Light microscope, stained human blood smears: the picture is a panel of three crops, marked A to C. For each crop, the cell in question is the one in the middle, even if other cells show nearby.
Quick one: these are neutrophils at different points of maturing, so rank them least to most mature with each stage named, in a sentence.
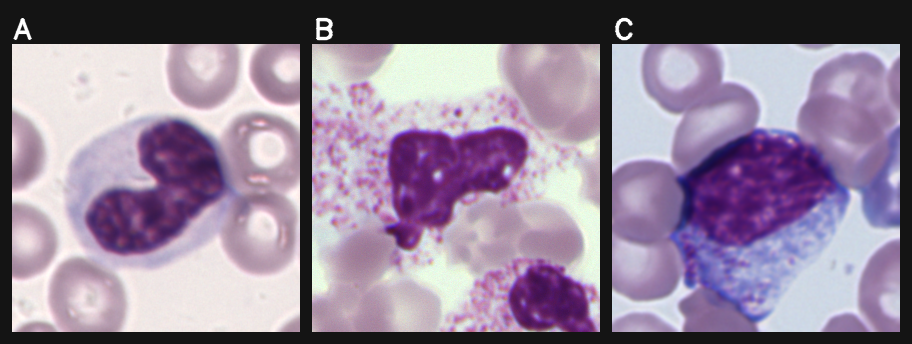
The maturity sequence, least mature to most mature, is crop C (a myelocyte), crop A (a band neutrophil) and crop B (a segmented neutrophil).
